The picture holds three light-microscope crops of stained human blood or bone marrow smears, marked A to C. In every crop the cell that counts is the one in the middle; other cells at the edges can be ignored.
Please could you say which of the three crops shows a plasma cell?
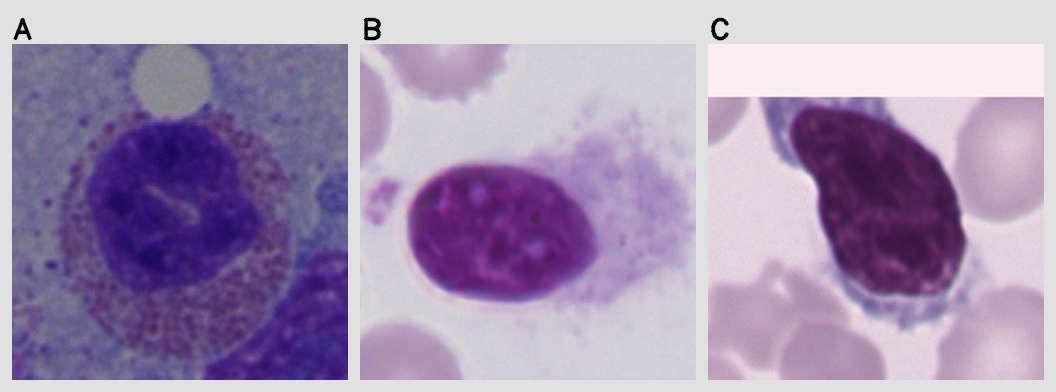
B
